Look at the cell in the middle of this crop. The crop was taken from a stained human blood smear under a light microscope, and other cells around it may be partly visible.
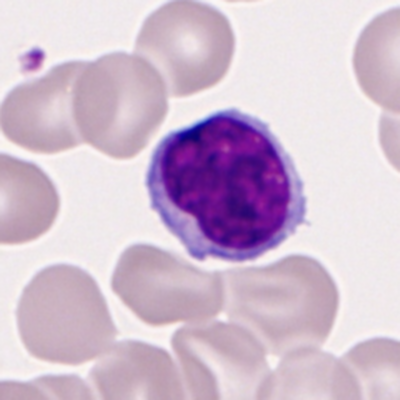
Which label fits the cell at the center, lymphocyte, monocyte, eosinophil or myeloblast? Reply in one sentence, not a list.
The cell in the exact centre of the crop is a lymphocyte.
